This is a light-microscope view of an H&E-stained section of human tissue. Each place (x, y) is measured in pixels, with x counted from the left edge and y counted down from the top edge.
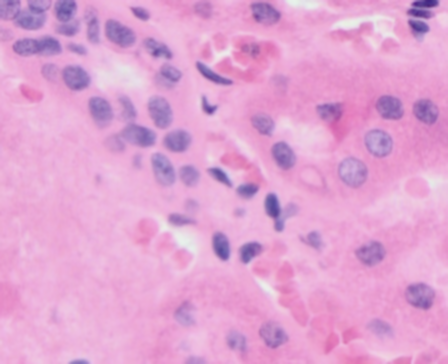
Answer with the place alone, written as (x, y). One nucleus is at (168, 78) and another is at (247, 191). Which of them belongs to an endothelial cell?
(247, 191)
